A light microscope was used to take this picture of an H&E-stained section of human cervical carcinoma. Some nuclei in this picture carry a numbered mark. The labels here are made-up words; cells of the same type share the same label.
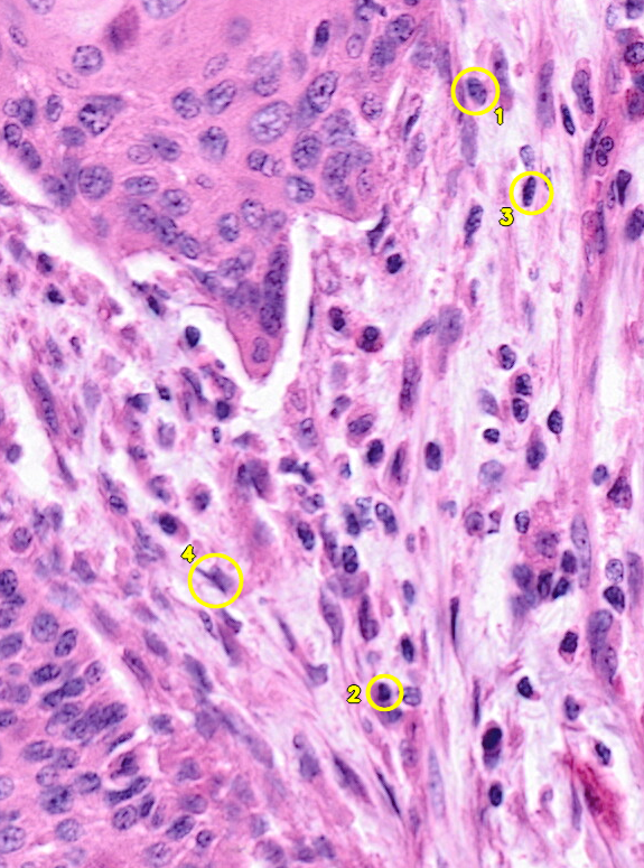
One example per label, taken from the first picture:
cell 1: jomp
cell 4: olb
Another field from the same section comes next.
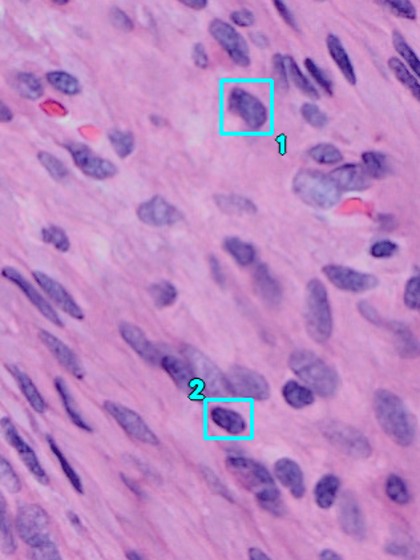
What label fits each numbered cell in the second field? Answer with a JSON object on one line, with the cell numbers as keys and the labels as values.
{"1": "olb", "2": "jomp"}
